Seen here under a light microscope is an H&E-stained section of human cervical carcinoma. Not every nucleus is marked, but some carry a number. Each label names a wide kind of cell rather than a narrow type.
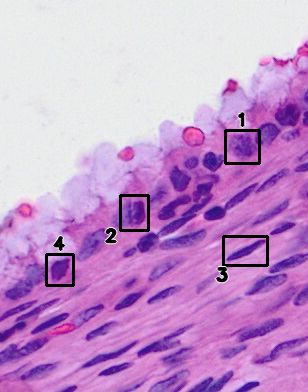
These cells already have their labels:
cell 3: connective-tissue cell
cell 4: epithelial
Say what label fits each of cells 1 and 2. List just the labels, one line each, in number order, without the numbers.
epithelial
epithelial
